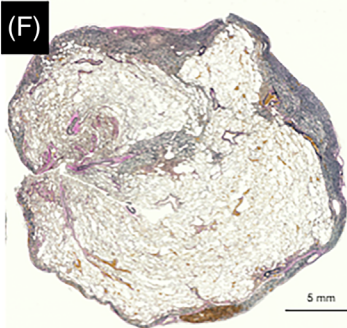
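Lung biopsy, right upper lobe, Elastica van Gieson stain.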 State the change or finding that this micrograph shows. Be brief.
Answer: Subpleural fibroelastosis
